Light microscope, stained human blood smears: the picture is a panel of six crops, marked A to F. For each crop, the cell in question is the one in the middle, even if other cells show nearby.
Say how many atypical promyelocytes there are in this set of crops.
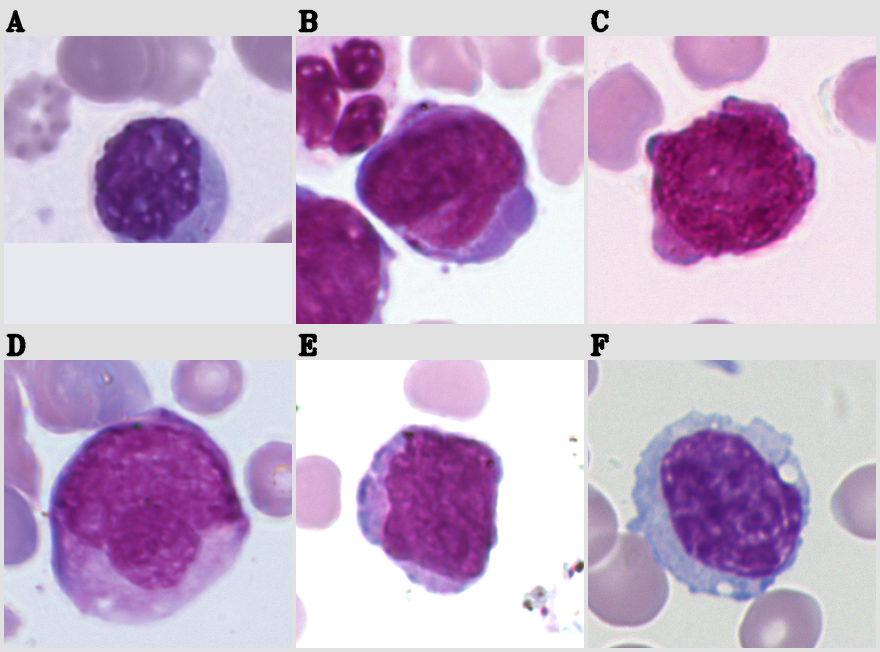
4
